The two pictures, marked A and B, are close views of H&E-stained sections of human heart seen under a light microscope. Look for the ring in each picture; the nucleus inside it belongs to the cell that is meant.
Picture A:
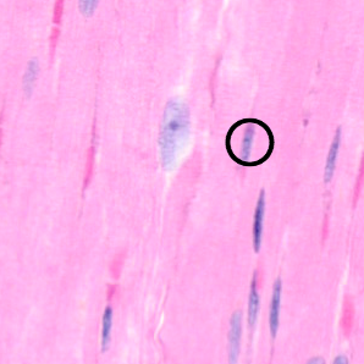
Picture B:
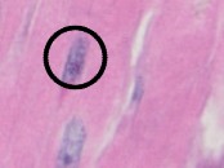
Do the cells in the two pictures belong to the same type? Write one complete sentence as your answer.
Yes, they are the same type: both are endothelial cells.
